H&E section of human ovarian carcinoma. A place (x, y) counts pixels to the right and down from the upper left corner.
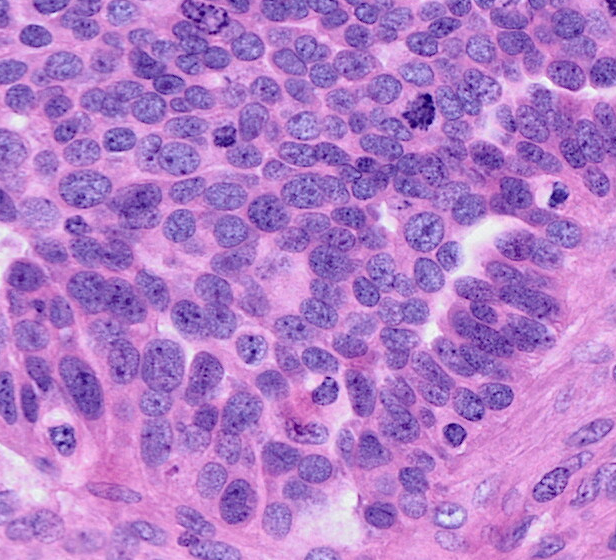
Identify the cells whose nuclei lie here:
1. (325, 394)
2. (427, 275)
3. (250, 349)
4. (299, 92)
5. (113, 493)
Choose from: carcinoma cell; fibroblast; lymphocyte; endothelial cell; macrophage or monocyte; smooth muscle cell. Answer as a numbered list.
1. macrophage or monocyte
2. carcinoma cell
3. macrophage or monocyte
4. carcinoma cell
5. fibroblast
